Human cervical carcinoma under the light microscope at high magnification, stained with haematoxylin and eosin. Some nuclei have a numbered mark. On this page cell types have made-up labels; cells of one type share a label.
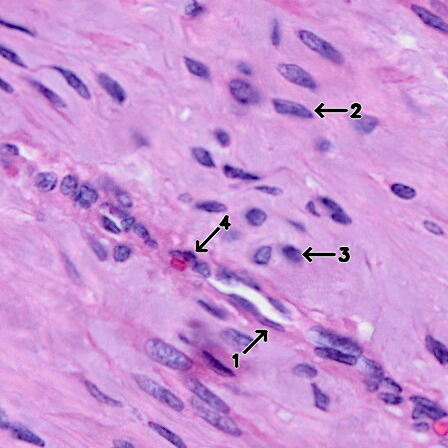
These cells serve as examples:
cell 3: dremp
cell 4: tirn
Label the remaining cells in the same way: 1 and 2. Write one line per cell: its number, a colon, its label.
1: tirn
2: dremp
